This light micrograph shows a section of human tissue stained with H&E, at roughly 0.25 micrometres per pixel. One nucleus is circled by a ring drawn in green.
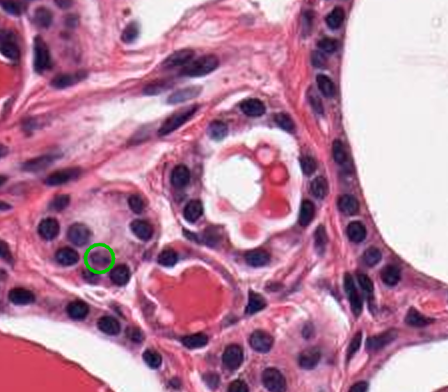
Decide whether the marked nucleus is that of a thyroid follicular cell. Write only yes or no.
yes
